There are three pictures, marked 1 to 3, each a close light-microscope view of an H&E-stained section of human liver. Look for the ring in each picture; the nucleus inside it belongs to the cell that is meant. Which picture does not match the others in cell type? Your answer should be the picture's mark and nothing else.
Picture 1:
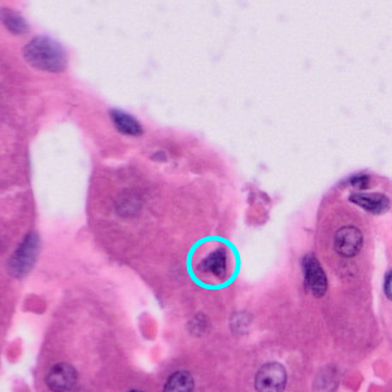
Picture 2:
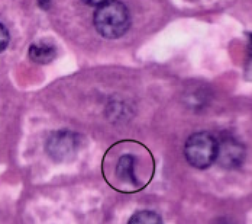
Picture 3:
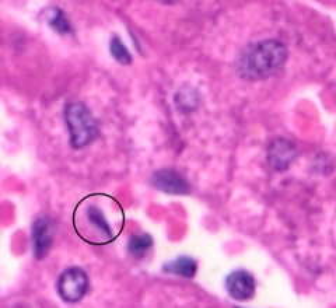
1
